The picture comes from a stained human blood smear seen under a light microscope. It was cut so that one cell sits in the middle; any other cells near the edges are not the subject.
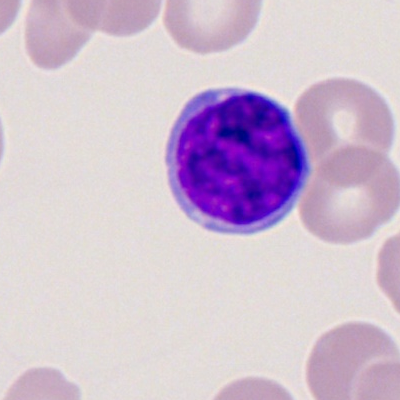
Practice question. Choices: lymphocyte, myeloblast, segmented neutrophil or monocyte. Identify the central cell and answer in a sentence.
The cell occupying the middle of the crop is a lymphocyte.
